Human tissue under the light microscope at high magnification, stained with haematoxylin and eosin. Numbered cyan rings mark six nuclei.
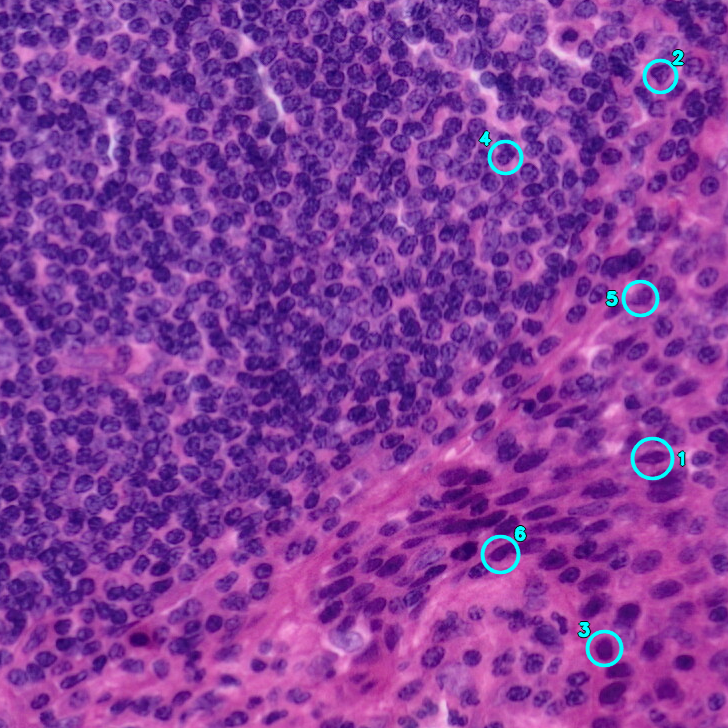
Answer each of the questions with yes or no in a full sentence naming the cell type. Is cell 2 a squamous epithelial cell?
No, instead of a squamous epithelial cell, the cell with number 2 is a plasma cell.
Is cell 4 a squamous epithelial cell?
No, the cell that carries number 4 is a small lymphocyte, not a squamous epithelial cell.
